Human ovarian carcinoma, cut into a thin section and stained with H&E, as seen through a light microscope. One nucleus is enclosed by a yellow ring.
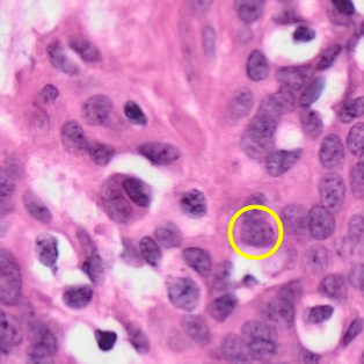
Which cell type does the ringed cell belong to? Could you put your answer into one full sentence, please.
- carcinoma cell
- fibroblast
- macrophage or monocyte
Just put down that the ringed cell is a carcinoma cell.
